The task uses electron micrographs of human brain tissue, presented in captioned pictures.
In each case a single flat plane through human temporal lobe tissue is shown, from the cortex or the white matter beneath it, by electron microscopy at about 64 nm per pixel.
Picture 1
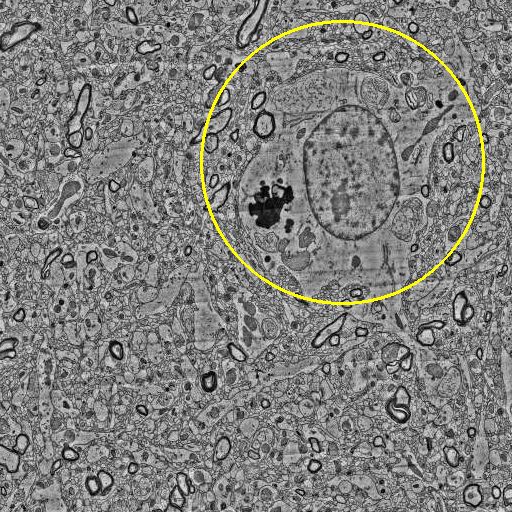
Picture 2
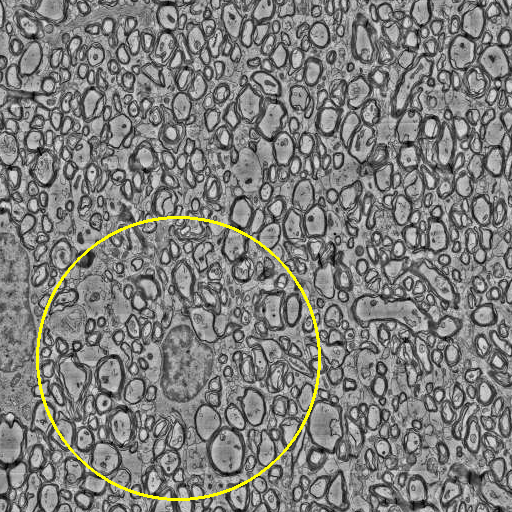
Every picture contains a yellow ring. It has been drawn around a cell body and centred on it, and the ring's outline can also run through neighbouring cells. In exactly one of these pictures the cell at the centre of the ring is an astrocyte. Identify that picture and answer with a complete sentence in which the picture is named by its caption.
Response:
The ring in Picture 1 is centred on that kind of cell.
